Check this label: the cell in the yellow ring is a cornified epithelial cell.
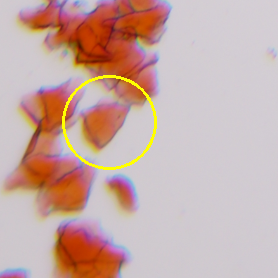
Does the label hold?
The label holds; the cell is a cornified epithelial cell.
